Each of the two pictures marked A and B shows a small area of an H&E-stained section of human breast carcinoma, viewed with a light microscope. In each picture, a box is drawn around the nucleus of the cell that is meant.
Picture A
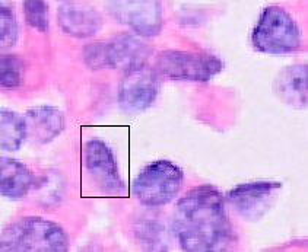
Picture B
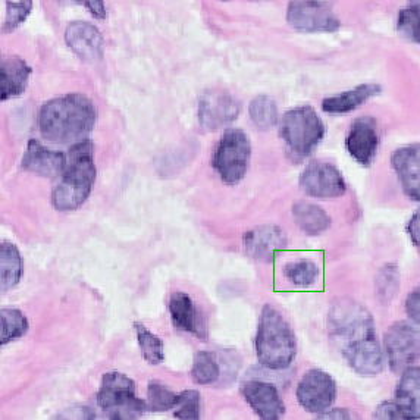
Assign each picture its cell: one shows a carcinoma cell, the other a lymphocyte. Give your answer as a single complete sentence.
The cell in picture A is a carcinoma cell, and the one in picture B is a lymphocyte.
